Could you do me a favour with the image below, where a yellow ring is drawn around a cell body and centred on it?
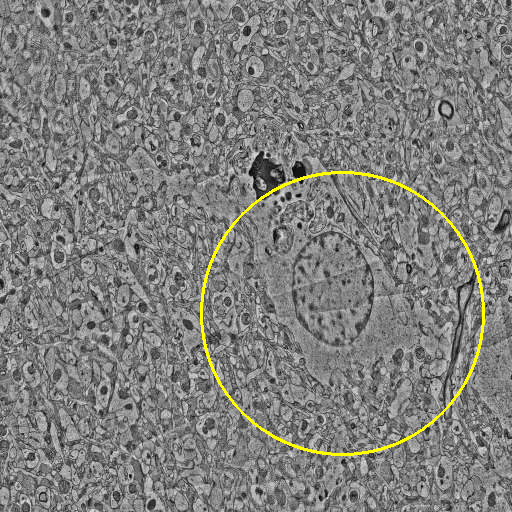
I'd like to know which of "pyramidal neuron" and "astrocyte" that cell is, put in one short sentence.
The cell at the ring's centre is an astrocyte.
